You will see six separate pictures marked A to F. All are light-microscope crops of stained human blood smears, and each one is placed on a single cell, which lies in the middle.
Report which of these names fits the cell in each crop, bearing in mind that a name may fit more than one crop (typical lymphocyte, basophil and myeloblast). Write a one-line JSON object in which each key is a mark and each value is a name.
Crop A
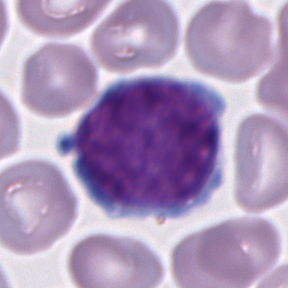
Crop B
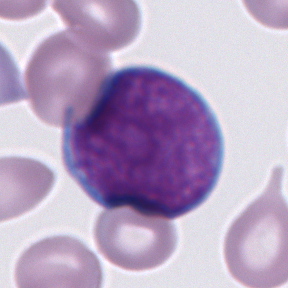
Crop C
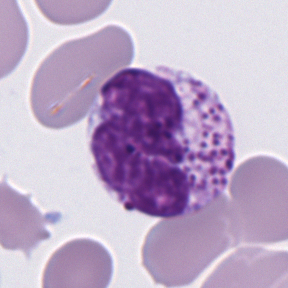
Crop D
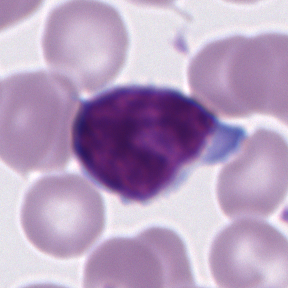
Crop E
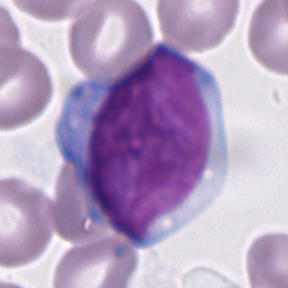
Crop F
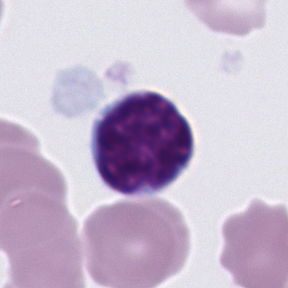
{"A": "myeloblast", "B": "myeloblast", "C": "basophil", "D": "typical lymphocyte", "E": "myeloblast", "F": "typical lymphocyte"}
